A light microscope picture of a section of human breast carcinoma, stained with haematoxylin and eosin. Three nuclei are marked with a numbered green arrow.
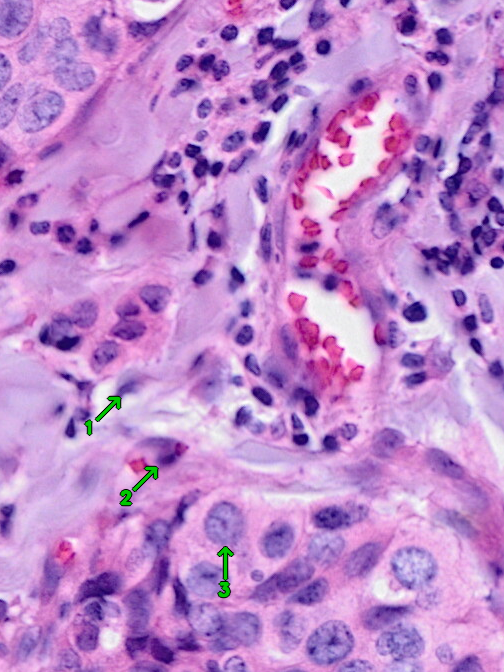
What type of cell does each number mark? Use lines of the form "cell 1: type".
cell 1: fibroblast
cell 2: endothelial cell
cell 3: carcinoma cell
